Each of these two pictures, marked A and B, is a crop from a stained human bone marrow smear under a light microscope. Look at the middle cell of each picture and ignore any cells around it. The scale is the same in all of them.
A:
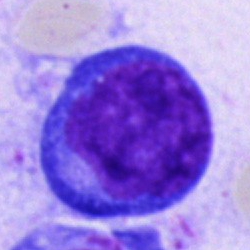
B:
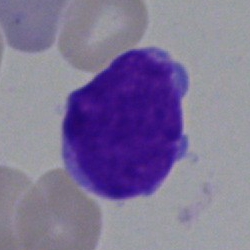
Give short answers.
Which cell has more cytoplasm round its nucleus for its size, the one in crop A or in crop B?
A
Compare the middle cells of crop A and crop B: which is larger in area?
A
